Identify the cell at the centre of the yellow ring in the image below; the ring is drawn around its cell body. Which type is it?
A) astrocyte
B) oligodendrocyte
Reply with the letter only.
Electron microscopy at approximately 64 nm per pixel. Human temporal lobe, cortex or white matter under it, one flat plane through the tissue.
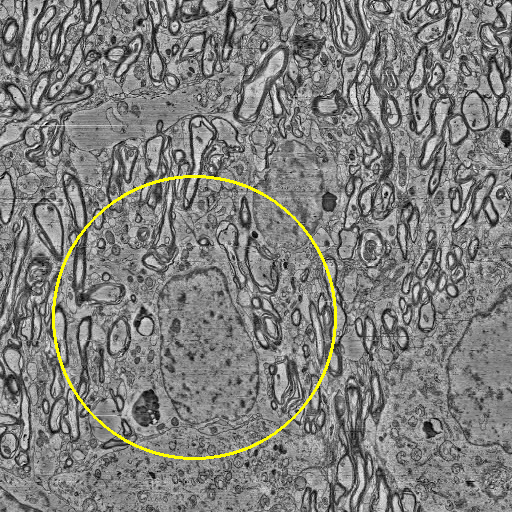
A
